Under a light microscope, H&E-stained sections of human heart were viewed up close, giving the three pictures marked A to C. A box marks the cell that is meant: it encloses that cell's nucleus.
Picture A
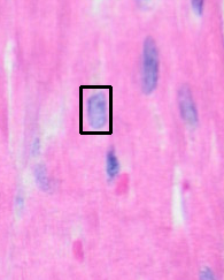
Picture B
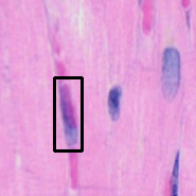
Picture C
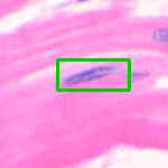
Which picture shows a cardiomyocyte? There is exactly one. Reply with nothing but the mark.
A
